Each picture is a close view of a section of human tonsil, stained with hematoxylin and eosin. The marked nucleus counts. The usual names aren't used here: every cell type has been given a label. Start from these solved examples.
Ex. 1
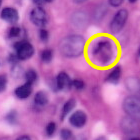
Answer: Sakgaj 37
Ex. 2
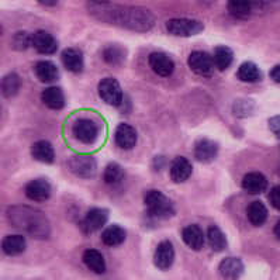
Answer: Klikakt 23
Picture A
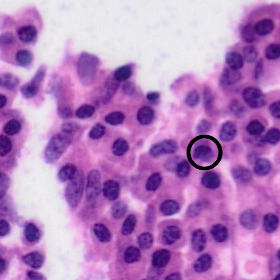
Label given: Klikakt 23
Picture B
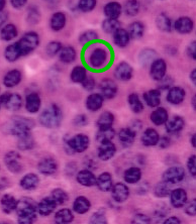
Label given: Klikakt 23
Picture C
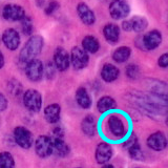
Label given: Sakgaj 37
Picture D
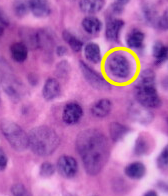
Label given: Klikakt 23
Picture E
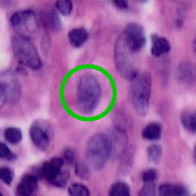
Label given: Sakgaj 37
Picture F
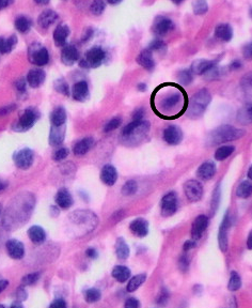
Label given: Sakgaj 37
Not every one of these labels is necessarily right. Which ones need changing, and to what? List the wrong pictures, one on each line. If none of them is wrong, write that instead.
C: change Sakgaj 37 to Klikakt 23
